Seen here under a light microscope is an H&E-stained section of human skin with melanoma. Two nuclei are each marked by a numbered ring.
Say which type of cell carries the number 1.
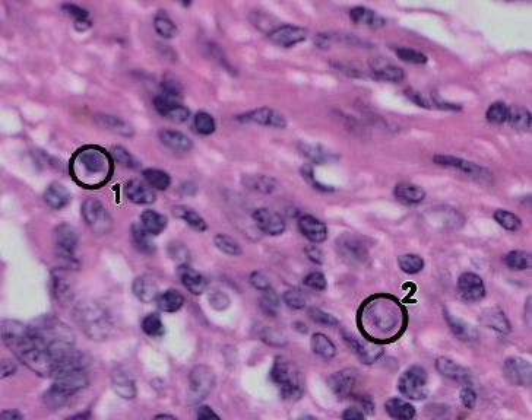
lymphocyte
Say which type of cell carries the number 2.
endothelial cell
